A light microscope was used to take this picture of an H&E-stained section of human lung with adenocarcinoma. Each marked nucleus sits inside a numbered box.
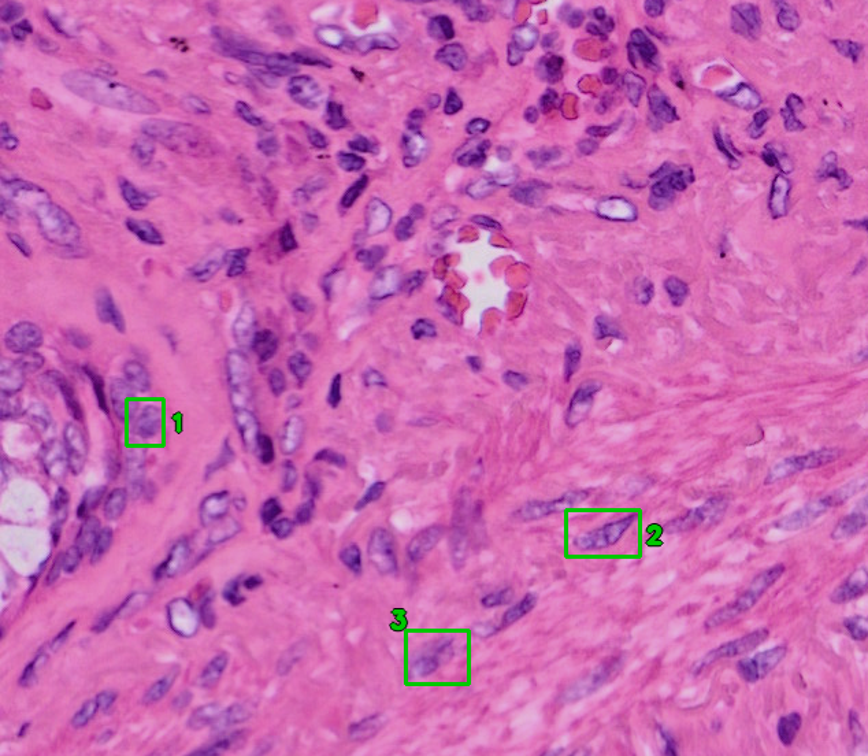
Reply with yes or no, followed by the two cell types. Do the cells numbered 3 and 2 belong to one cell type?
Yes, cells 3 and 2 are both termed smooth muscle cells or pericytes.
